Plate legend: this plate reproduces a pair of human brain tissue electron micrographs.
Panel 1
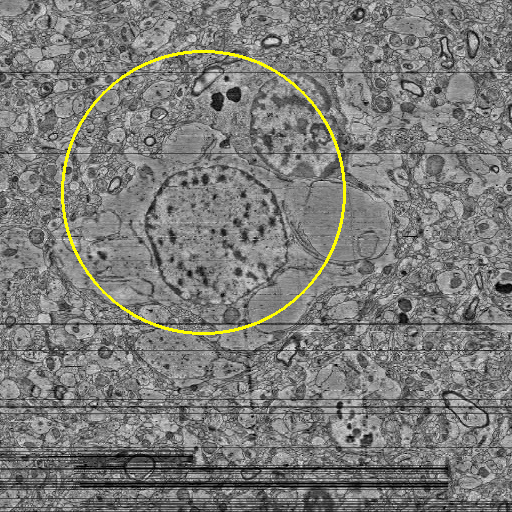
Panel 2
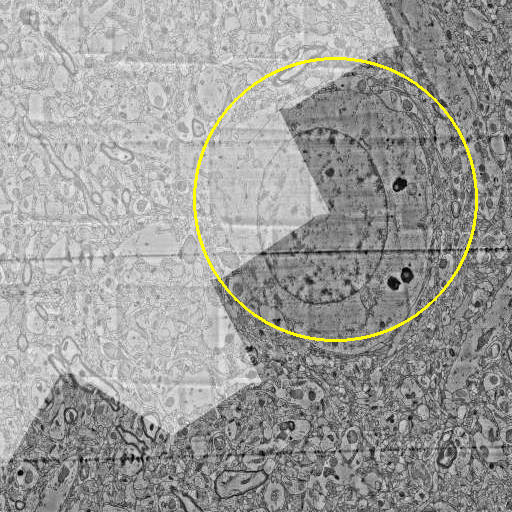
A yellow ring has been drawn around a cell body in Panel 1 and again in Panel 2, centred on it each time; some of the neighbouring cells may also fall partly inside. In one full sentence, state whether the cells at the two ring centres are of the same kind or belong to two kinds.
The ring-centred cells of Panel 1 and Panel 2 belong to two kinds.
